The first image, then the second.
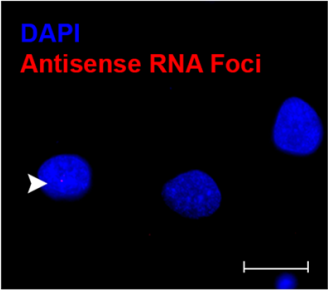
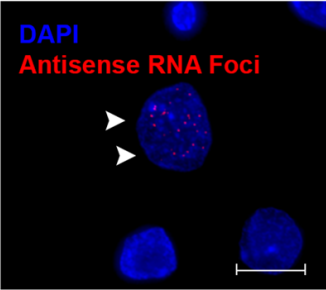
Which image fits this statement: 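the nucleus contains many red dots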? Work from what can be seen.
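The second image. Second image: one large nucleus holds more than a dozen scattered red dots.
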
